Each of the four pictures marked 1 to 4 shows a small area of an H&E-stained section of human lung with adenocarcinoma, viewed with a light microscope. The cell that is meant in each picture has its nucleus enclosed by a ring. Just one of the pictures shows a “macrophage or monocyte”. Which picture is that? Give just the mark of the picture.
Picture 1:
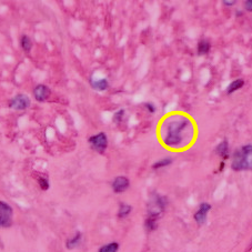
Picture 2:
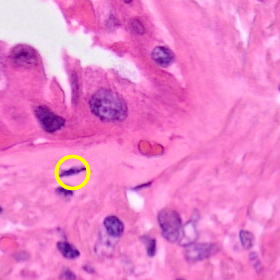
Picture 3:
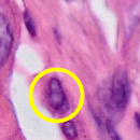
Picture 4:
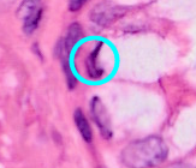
3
